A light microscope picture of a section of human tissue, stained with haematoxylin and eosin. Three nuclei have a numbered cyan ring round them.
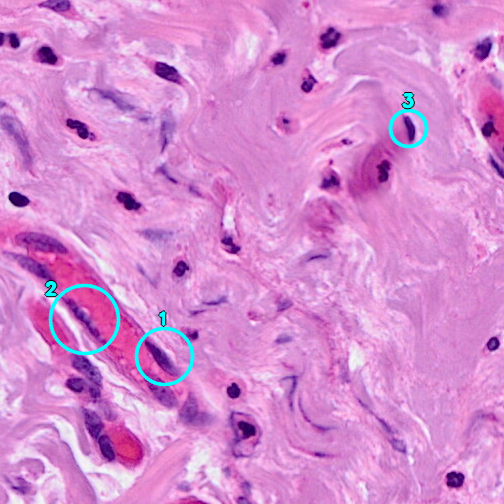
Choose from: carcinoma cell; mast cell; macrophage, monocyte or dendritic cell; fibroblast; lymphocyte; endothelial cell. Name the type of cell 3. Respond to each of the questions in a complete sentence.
Cell 3 in the field is a fibroblast.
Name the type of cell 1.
Cell number 1 in this section is an endothelial cell.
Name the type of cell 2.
The cell referenced by the number 2 is an endothelial cell in this field.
